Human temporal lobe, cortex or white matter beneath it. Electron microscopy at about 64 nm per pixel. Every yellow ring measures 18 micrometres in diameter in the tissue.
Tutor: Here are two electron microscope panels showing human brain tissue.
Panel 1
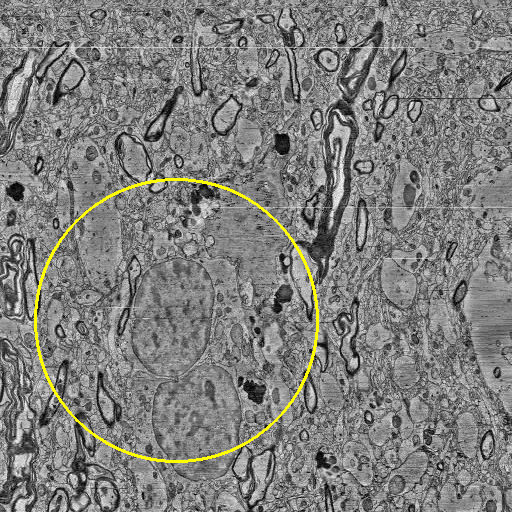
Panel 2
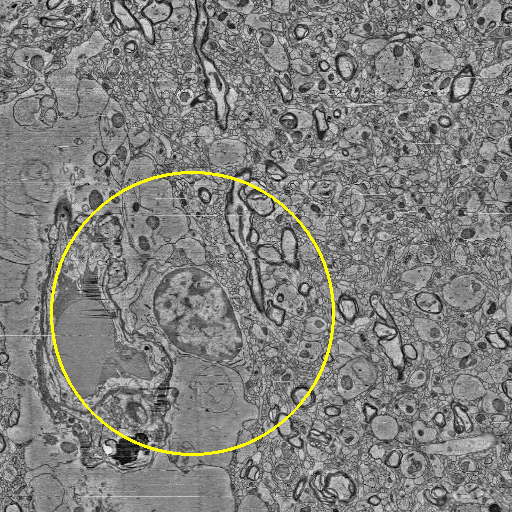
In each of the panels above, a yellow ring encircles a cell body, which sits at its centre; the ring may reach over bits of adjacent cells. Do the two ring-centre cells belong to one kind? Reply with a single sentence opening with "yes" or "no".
No, the two cells sitting at the ring centres in the panels belong to two kinds.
